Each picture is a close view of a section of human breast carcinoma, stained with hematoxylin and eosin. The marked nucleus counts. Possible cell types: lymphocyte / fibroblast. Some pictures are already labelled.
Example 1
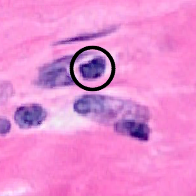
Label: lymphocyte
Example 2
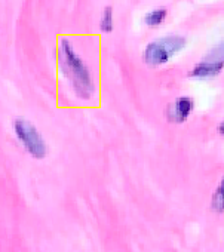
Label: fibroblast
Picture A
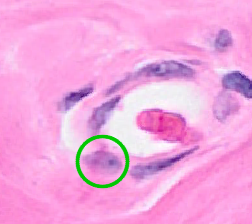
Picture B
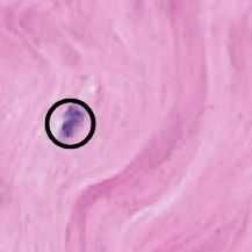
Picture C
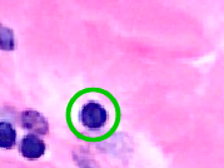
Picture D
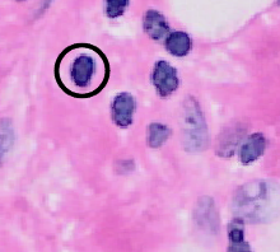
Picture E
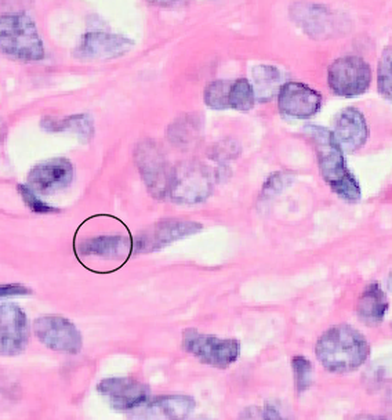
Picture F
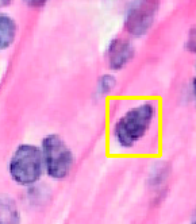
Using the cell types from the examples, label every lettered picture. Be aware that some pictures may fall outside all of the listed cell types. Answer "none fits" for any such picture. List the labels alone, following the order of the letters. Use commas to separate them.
none fits, fibroblast, lymphocyte, lymphocyte, none fits, lymphocyte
